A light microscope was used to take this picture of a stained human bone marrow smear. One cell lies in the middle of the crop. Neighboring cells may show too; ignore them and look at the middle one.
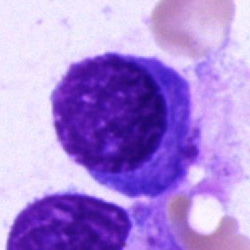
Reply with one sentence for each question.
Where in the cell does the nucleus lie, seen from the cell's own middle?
The nucleus sits off-centre, toward the upper left.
